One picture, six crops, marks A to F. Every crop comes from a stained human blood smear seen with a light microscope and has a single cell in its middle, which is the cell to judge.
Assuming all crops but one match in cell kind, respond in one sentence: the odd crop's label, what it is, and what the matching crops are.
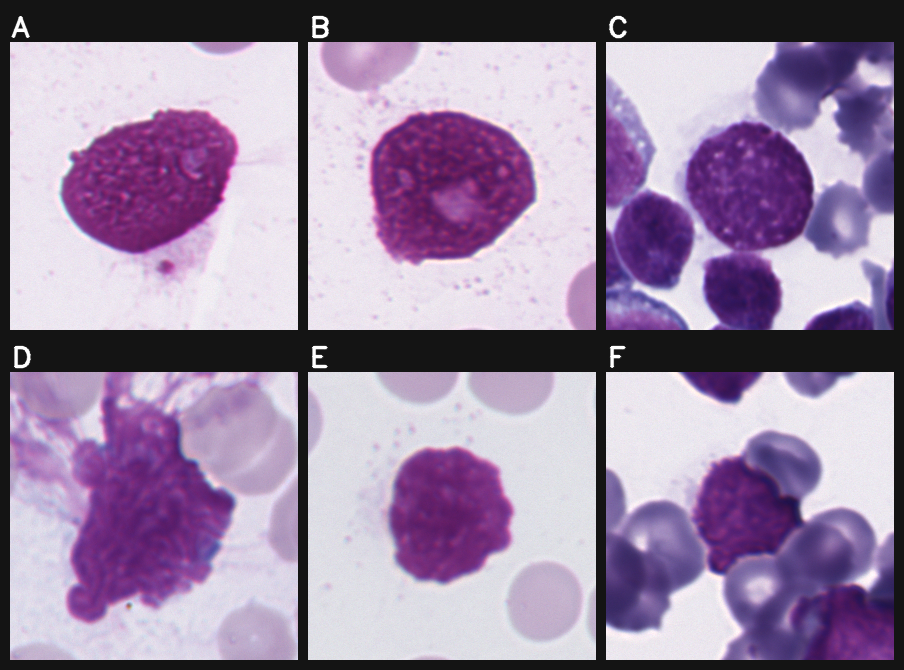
Crop C is the outlier, with a myeloblast against smudge cells in the rest.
